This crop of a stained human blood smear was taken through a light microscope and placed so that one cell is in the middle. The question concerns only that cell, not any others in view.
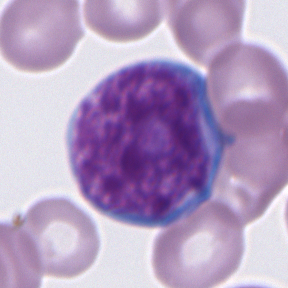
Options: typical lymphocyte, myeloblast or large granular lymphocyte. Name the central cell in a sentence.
Within this crop, a myeloblast occupies the central position.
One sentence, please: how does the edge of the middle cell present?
In outline, the cell is irregular, ragged in stretches or drawn into projections.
